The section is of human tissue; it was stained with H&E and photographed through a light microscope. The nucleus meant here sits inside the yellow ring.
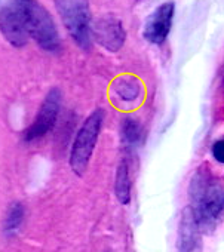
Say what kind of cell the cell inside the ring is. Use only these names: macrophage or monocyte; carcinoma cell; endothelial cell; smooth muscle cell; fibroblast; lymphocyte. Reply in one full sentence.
By its classification, the cell inside the ring is a smooth muscle cell.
